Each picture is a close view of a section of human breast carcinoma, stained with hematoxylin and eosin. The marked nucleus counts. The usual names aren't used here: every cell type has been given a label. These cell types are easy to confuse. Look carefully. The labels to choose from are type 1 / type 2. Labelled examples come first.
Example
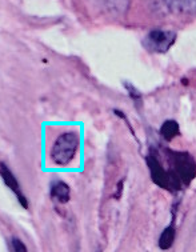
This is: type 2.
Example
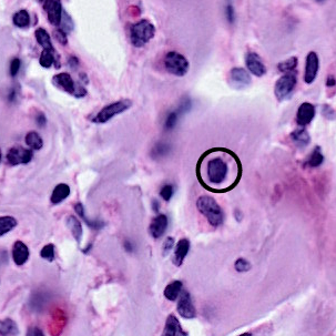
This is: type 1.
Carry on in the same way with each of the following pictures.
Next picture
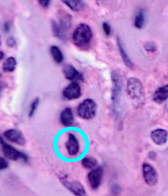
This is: type 1.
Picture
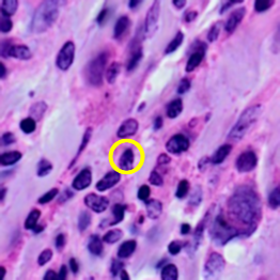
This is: type 1.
